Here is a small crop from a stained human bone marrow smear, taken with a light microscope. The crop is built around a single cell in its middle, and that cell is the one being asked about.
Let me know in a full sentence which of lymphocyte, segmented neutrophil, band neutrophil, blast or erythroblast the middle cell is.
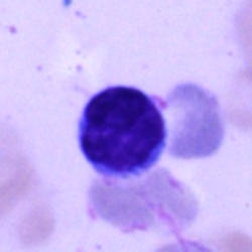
Standing at the centre of this crop is a lymphocyte.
